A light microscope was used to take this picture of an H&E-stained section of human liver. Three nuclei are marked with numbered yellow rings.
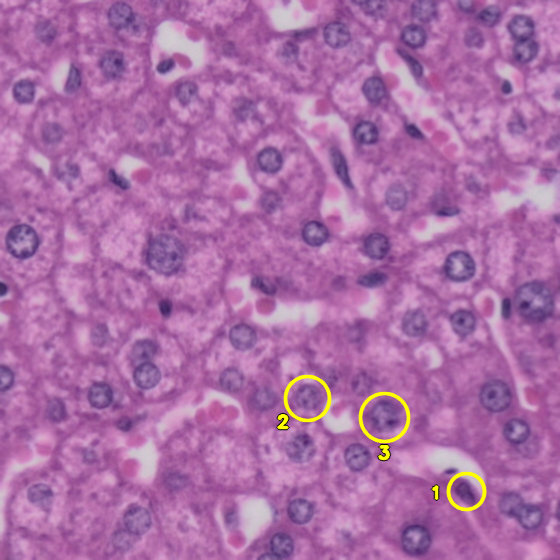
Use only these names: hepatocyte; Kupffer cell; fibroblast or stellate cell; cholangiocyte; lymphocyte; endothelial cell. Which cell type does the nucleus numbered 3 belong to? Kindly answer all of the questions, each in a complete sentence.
At number 3, the marked cell is a hepatocyte.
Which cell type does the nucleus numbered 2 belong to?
The cell numbered 2 has been identified as a hepatocyte.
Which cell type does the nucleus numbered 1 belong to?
Cell 1 of the marked set is a Kupffer cell.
